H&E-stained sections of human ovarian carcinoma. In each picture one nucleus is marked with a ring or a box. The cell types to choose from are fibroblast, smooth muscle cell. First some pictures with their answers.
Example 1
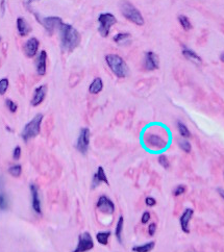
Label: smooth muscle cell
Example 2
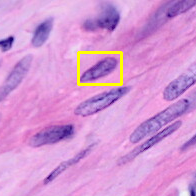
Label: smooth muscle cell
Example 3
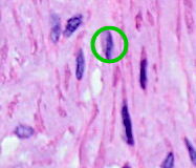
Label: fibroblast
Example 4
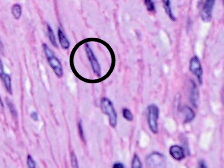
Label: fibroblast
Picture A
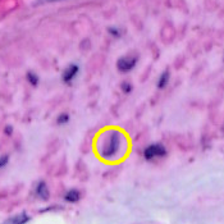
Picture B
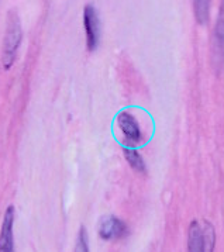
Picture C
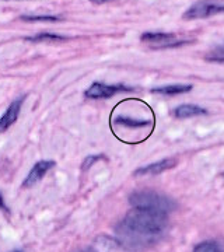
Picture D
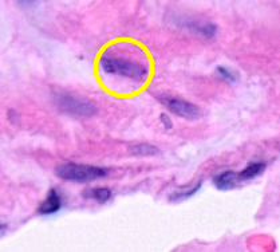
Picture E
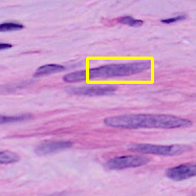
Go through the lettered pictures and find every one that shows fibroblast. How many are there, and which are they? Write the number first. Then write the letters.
1, namely C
